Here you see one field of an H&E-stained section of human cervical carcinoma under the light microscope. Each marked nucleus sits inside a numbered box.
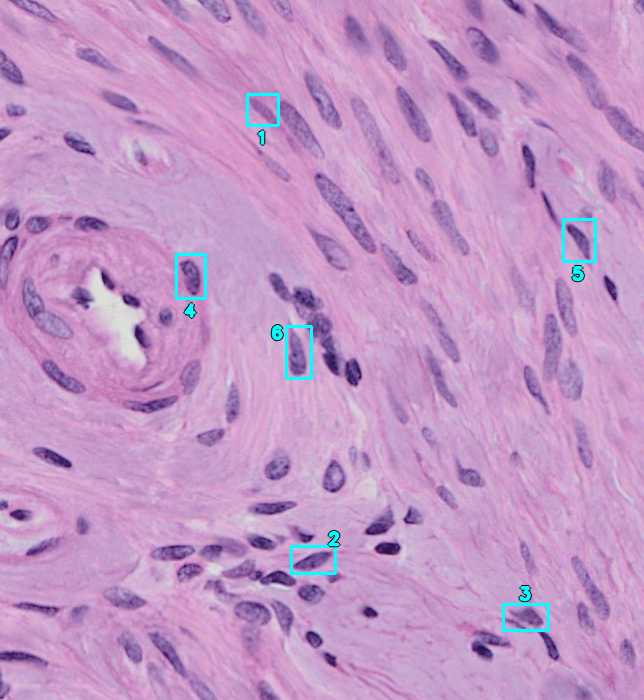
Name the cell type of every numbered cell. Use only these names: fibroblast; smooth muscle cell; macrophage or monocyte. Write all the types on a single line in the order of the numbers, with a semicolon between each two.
smooth muscle cell; fibroblast; fibroblast; smooth muscle cell; fibroblast; fibroblast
